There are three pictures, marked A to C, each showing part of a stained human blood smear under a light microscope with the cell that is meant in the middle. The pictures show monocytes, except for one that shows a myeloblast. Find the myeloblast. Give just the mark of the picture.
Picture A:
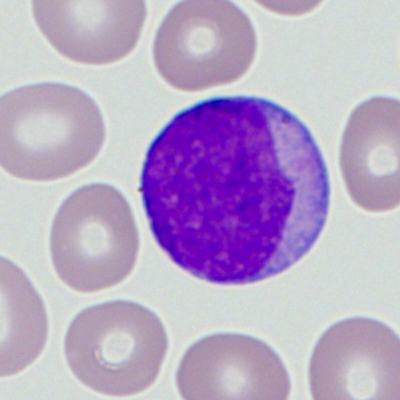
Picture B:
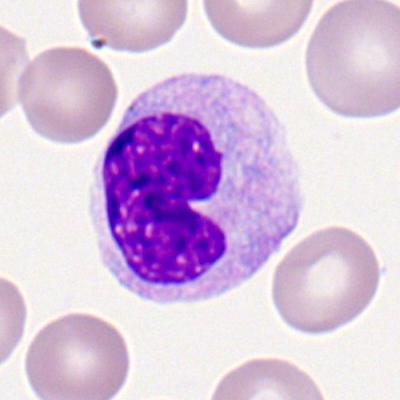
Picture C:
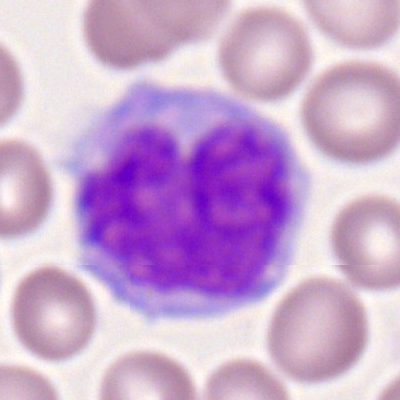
A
